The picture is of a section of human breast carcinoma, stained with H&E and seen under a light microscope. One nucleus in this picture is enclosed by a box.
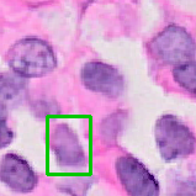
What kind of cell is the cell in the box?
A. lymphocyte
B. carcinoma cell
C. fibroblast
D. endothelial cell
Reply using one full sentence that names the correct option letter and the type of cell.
Option B, identifying the cell in the box as a carcinoma cell, is correct.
